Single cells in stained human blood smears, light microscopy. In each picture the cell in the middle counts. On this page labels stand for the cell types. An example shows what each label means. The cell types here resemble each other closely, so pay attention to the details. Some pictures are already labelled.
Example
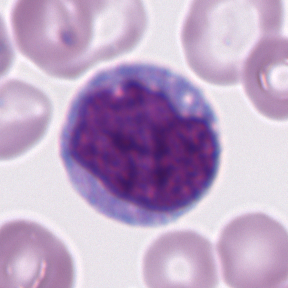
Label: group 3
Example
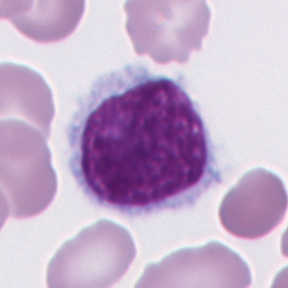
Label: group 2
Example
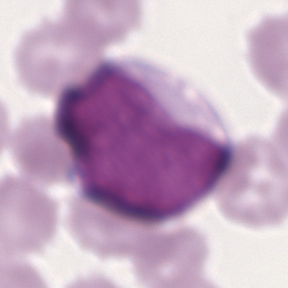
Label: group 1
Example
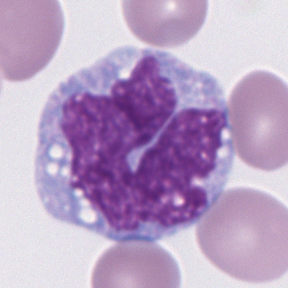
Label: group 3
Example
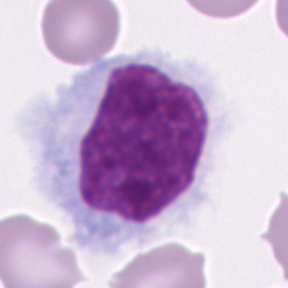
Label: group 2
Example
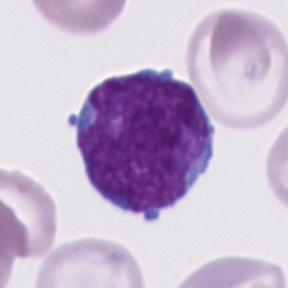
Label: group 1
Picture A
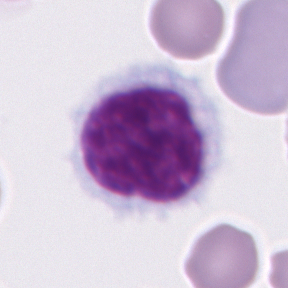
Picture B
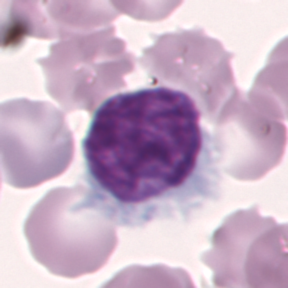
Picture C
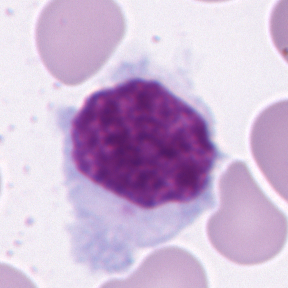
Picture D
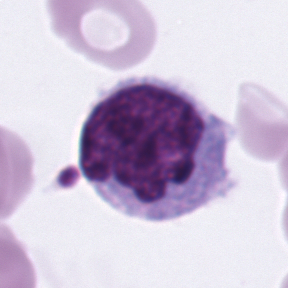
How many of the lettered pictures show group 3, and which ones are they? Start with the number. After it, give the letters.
Count: 1 (D)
